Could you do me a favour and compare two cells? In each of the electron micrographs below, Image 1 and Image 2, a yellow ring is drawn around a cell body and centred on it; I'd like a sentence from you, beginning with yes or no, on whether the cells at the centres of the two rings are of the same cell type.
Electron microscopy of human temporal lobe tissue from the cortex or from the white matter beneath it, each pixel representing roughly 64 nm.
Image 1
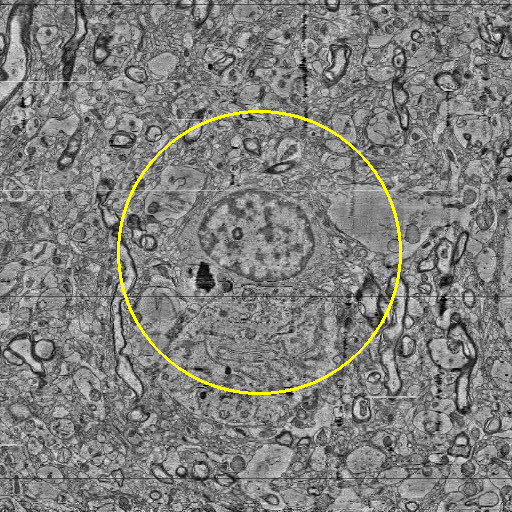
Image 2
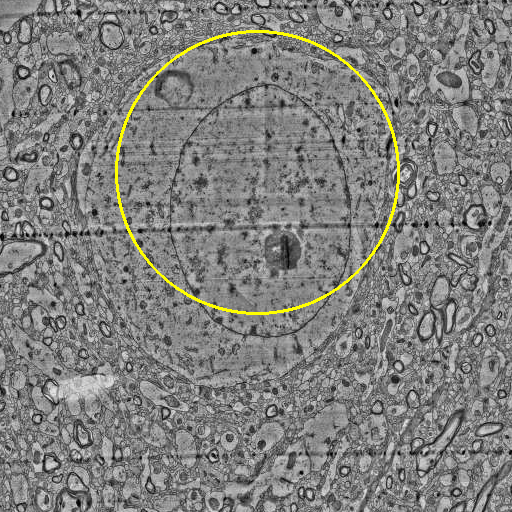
No, the two cells are of two cell types.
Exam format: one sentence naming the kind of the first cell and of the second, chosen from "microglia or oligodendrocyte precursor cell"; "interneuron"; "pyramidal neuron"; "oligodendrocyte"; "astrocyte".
The first picture's cell is an oligodendrocyte, and the second picture's cell is a pyramidal neuron.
